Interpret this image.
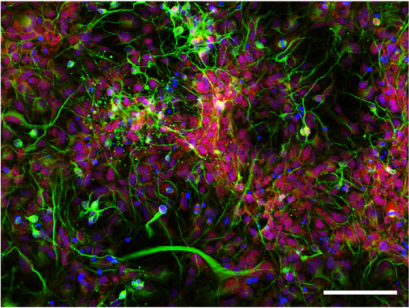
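Green cells have small bodies and thin, branching processes, some of them very long and one thick bundle crossing the lower part of the field. Where the processes gather in the clusters, the green and red overlap and look yellowish.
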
